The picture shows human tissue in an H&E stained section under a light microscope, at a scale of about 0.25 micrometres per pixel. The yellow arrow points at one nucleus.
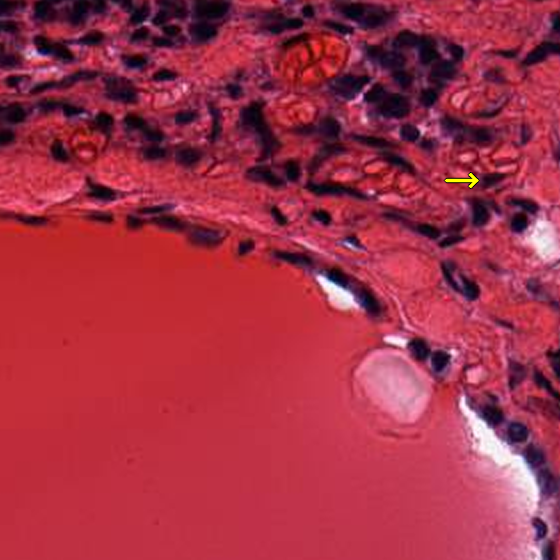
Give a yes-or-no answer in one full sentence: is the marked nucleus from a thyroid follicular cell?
No, the nucleus that is marked belongs to a supporting cell rather than to a thyroid follicular cell.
